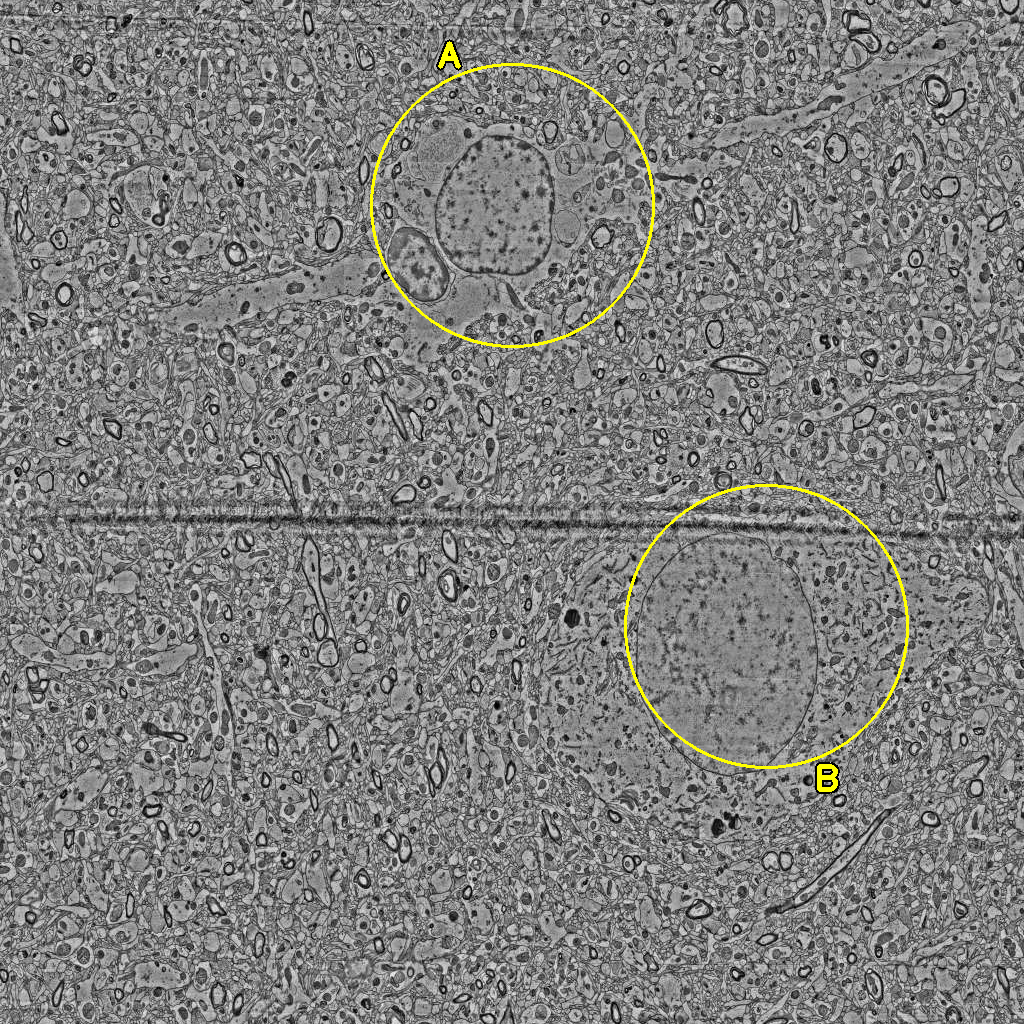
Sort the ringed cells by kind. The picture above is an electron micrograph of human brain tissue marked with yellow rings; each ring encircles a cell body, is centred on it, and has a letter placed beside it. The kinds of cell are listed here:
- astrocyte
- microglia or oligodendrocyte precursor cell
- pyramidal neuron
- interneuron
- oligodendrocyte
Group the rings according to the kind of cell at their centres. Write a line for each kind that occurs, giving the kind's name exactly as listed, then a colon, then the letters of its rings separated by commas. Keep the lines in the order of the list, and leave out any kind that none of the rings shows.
astrocyte: A
pyramidal neuron: B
